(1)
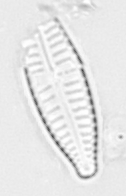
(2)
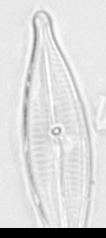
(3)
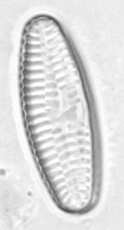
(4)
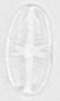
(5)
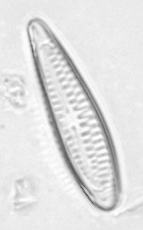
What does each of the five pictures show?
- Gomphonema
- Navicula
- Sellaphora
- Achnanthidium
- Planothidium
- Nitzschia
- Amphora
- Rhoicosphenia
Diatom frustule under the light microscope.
Picture 1: Gomphonema
Picture 2: Navicula
Picture 3: Planothidium
Picture 4: Sellaphora
Picture 5: Rhoicosphenia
